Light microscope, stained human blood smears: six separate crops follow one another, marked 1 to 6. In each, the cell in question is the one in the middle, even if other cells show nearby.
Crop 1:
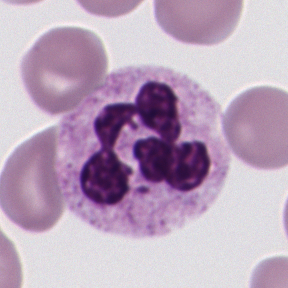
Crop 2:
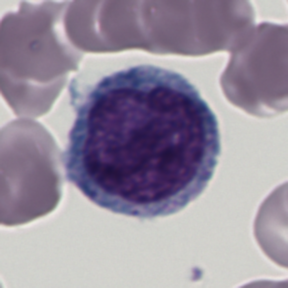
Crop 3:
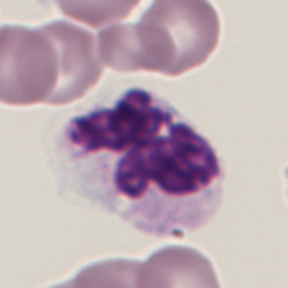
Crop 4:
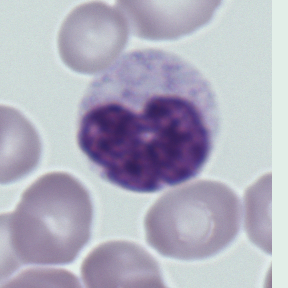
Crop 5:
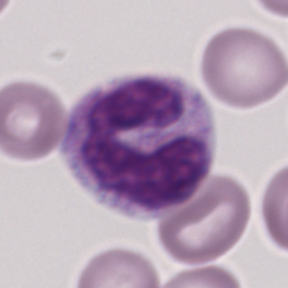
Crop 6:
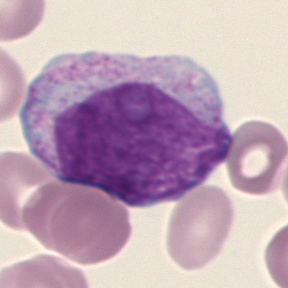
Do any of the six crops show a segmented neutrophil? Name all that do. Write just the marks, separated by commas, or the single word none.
1, 3, 4, 5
